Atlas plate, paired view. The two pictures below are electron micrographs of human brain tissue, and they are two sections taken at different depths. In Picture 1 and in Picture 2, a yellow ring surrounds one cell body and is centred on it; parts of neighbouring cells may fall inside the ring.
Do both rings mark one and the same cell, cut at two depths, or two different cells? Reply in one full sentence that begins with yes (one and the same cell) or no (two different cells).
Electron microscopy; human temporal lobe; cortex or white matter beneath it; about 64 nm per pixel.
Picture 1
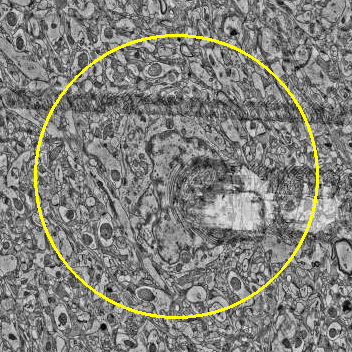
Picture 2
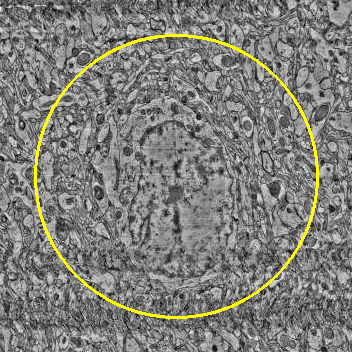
Yes, both rings are placed on a single cell.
